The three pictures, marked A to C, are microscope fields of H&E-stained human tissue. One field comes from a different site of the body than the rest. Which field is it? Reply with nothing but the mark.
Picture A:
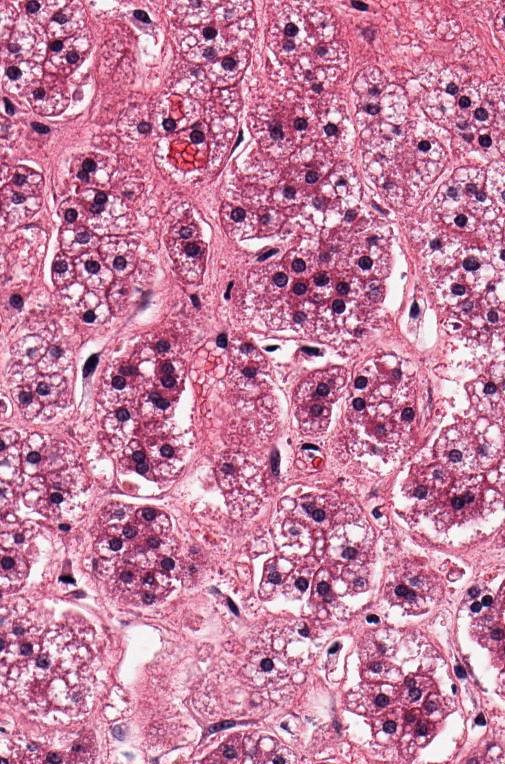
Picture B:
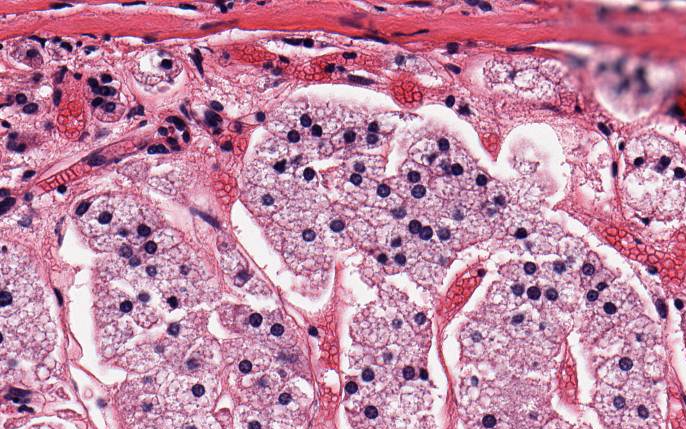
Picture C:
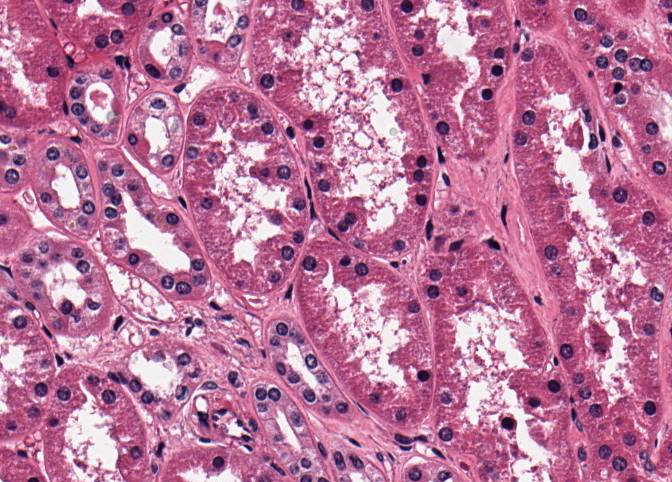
C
